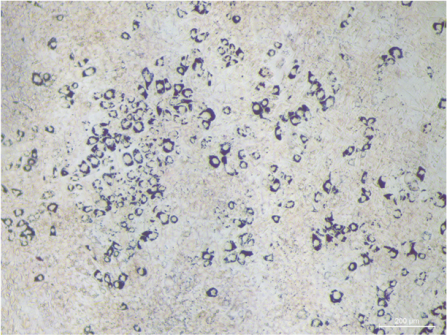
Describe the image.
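This is a dense monolayer of cultured fat-precursor cells, many of which have rounded up and filled with darkly stained droplets. The stained cells look like small rings or clusters of dark purple beads, with droplets gathered around a paler centre, and they lie singly or in loose groups scattered over the field. Some areas hold crowded clusters of them, while other stretches are sparse. Between them lies a pale background of flattened, unstained cells packed closely side by side, whose outlines are faint. No tissue architecture is present; the cells grow as a flat sheet on the culture surface.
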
